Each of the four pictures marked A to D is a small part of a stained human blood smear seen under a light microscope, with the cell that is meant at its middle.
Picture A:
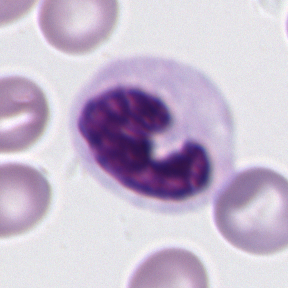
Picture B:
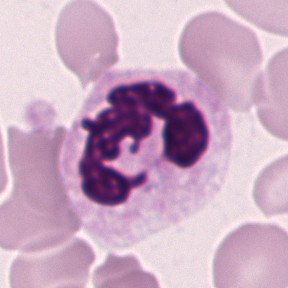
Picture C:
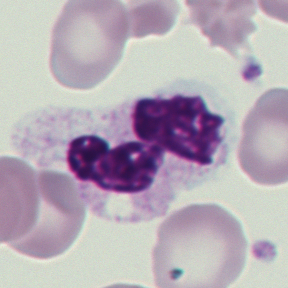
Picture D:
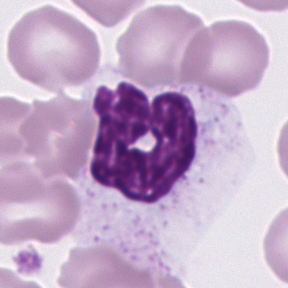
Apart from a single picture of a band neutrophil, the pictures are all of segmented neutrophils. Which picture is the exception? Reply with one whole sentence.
Picture A shows the band neutrophil.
